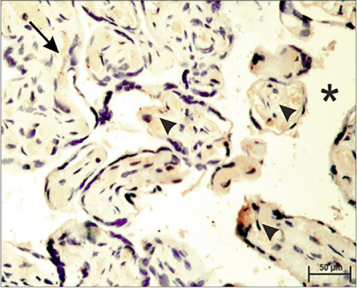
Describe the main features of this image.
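The villous tissue carries a pale brown background, and some cells within the villi are stained a darker brown. Between the villi lie pale, empty spaces, which are the blood spaces surrounding them.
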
